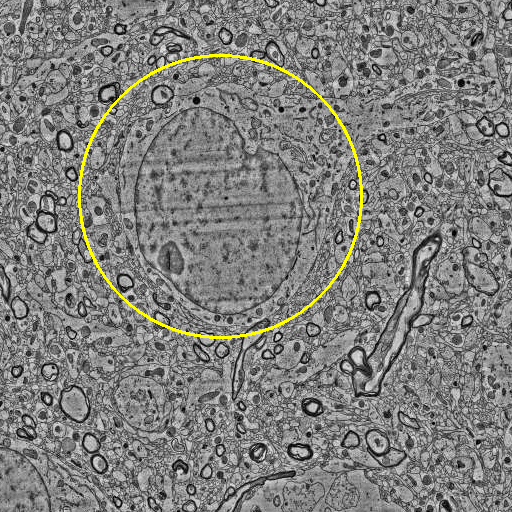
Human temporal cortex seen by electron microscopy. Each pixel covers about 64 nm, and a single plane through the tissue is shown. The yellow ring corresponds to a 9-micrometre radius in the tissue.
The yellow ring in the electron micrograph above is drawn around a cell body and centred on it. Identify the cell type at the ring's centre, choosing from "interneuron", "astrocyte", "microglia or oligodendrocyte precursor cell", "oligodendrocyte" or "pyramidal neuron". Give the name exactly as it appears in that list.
pyramidal neuron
